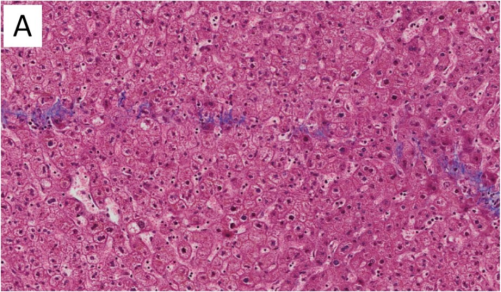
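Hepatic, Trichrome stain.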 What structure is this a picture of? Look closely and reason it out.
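Thin, interrupted blue-staining strands run across the liver parenchyma. The strands are discontinuous, with hepatocytes bridging the gaps.
Answer: Perforated delicate septa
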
